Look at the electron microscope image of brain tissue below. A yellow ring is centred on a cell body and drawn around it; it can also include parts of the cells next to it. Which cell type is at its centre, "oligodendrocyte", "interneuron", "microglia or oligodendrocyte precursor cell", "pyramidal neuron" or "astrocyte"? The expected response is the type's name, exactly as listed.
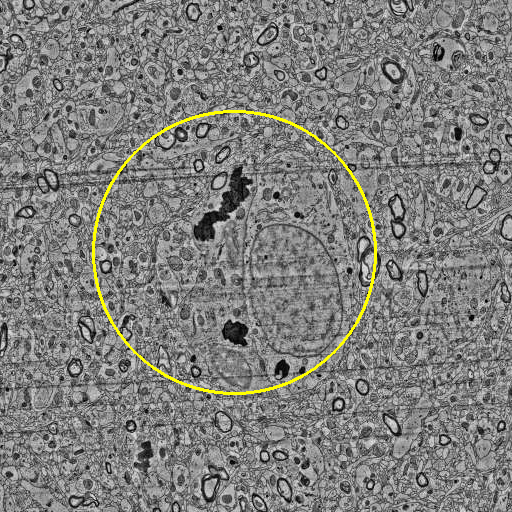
oligodendrocyte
